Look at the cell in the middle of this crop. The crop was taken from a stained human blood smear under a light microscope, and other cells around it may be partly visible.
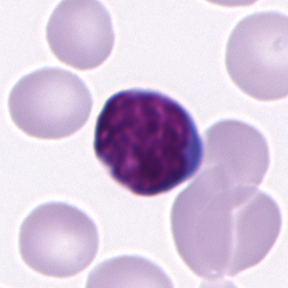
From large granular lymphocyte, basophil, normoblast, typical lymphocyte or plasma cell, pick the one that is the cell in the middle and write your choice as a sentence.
The centered cell in this crop is a typical lymphocyte.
